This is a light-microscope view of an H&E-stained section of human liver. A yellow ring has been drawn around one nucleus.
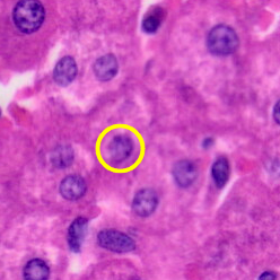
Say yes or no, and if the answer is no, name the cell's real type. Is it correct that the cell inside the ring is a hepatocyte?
Yes.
